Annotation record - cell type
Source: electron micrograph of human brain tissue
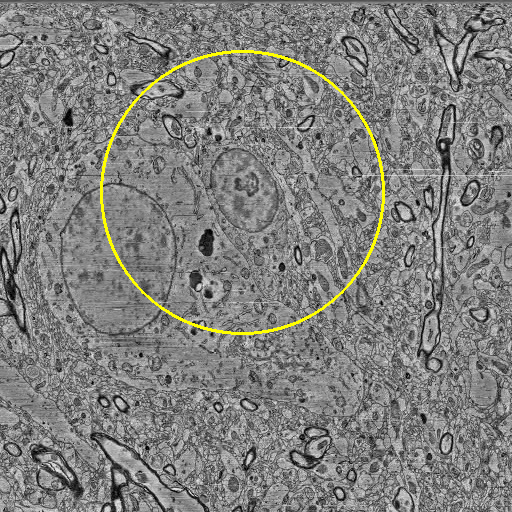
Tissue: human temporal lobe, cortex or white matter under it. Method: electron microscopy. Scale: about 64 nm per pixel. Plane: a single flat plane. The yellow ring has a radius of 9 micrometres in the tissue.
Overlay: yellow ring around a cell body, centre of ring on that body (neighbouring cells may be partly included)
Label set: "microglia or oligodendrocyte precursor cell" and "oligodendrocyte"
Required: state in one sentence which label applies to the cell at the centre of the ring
This cell should be labelled as an oligodendrocyte.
